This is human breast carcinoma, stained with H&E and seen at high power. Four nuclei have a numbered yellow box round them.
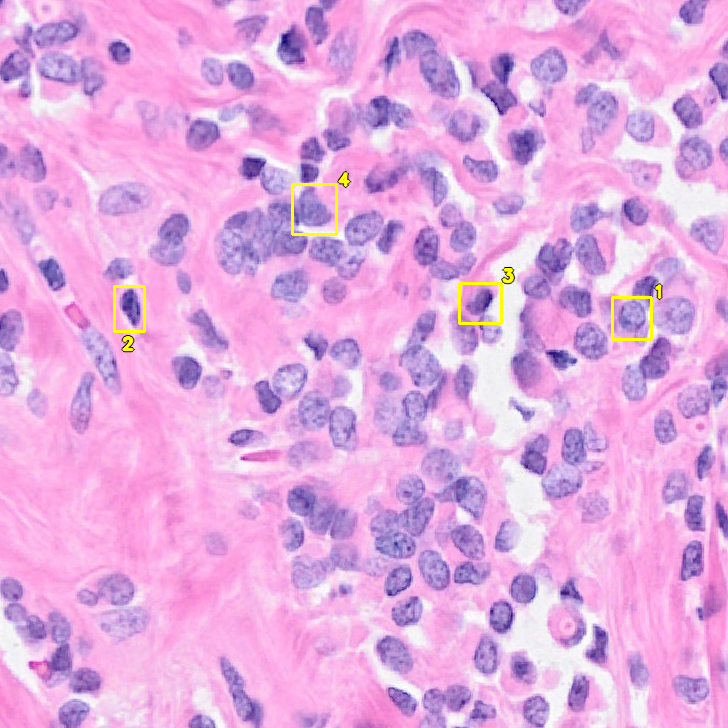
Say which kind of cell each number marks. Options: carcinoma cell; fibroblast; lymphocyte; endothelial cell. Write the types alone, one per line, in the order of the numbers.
carcinoma cell
lymphocyte
carcinoma cell
carcinoma cell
